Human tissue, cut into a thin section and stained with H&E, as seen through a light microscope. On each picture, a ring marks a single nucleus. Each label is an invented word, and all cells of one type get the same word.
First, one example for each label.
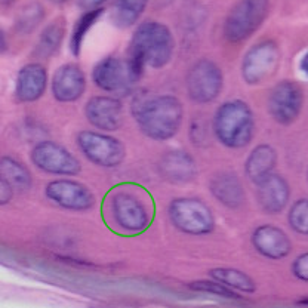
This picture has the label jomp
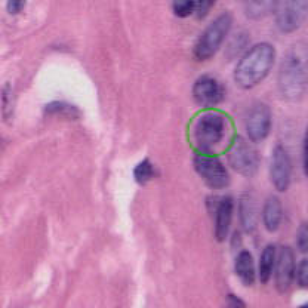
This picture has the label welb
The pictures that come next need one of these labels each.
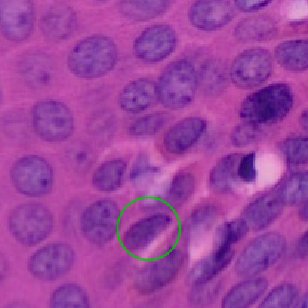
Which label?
welb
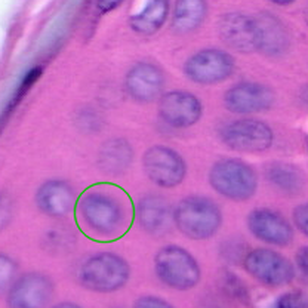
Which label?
jomp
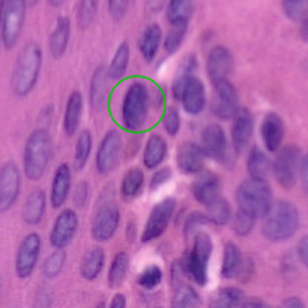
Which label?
welb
